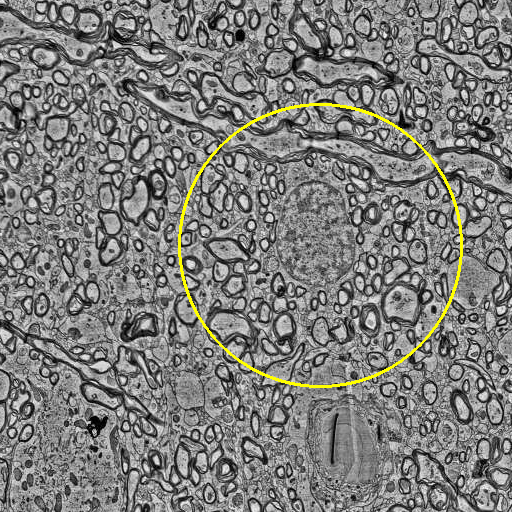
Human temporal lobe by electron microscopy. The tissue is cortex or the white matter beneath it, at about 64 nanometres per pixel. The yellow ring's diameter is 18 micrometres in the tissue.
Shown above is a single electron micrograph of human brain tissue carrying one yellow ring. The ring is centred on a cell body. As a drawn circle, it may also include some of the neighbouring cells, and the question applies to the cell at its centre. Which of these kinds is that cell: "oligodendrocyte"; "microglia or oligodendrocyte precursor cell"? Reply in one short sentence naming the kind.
The cell marked by the ring is an oligodendrocyte.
